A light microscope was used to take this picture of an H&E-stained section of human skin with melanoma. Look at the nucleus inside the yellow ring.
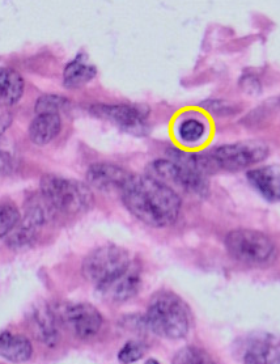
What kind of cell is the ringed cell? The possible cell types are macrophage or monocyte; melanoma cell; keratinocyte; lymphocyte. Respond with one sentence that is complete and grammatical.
So far as cell type goes, the ringed cell is a lymphocyte.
